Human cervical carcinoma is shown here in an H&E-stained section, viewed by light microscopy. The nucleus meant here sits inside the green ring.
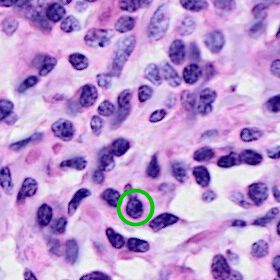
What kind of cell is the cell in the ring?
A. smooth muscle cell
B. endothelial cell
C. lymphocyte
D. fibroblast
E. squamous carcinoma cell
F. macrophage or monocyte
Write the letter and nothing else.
C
